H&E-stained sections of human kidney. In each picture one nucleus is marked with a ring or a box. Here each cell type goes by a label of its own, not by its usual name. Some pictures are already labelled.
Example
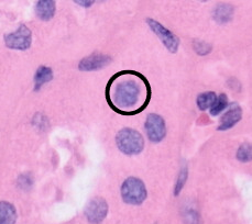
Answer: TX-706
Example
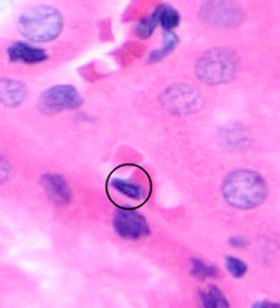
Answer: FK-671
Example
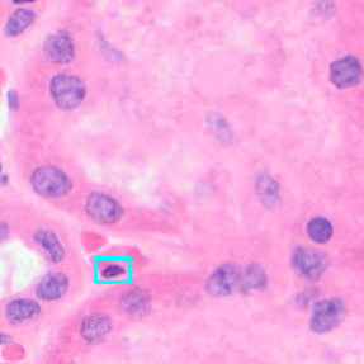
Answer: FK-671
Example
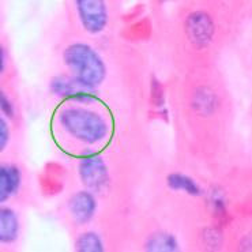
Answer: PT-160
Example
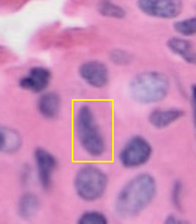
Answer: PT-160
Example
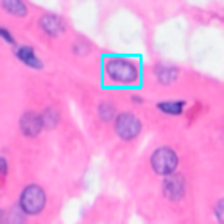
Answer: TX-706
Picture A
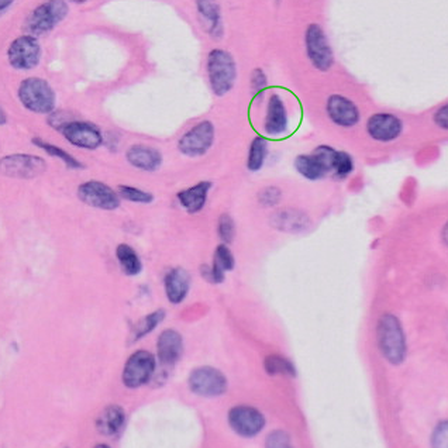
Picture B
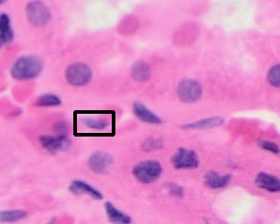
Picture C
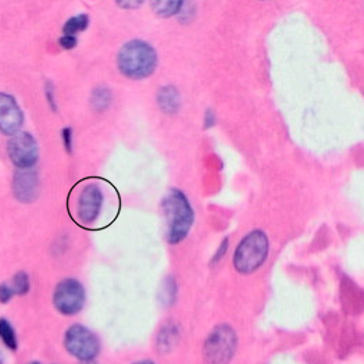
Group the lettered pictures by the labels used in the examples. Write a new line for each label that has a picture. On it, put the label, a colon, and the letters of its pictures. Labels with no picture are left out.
TX-706: C
FK-671: A, B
